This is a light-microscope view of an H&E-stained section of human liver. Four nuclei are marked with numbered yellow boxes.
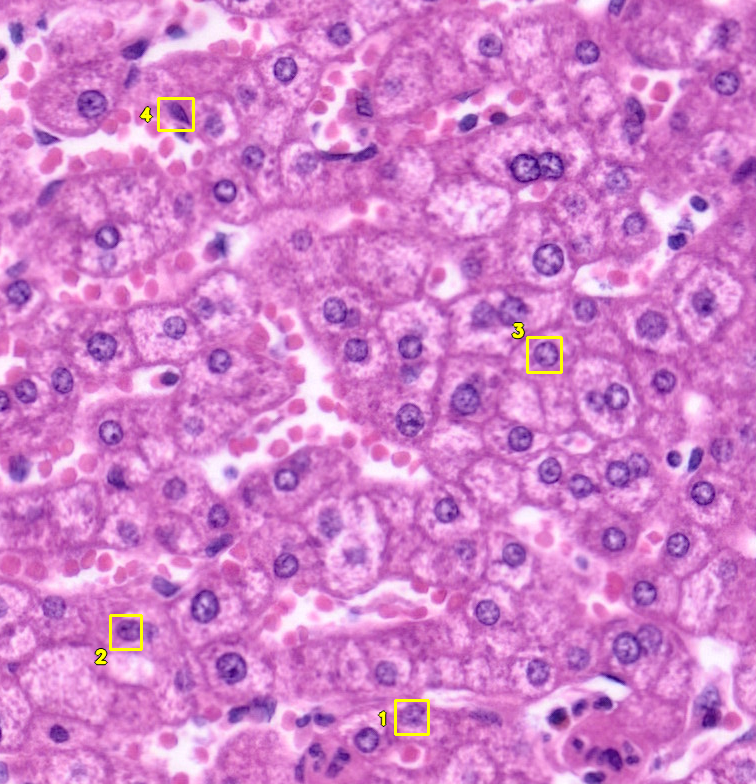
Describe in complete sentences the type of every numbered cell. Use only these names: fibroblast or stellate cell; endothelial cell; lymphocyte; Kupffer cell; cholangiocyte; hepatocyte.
Cell 1 is a hepatocyte, cell 2 is a hepatocyte, cell 3 is a hepatocyte and cell 4 is a fibroblast or stellate cell.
